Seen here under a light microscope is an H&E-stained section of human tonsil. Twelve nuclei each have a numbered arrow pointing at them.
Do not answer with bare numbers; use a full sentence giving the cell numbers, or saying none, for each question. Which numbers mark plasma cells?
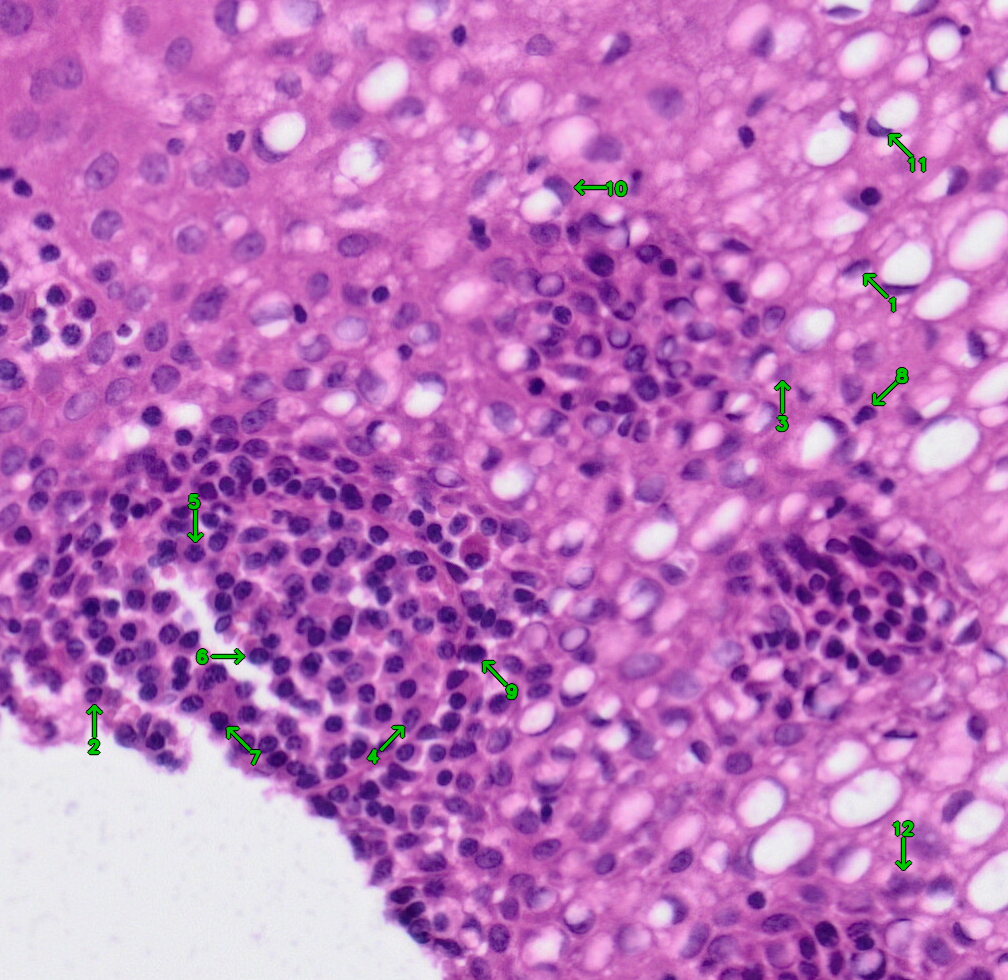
The cells whose numbers are 2, 4, 5, 6 and 7 are plasma cells.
